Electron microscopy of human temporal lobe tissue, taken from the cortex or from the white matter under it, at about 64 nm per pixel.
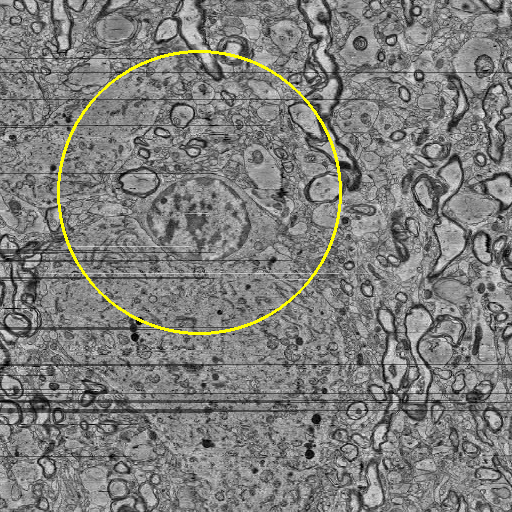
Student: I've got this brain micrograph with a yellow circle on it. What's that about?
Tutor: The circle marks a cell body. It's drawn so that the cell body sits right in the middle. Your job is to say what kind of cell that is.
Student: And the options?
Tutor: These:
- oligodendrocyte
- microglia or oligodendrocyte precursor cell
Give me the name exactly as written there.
oligodendrocyte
